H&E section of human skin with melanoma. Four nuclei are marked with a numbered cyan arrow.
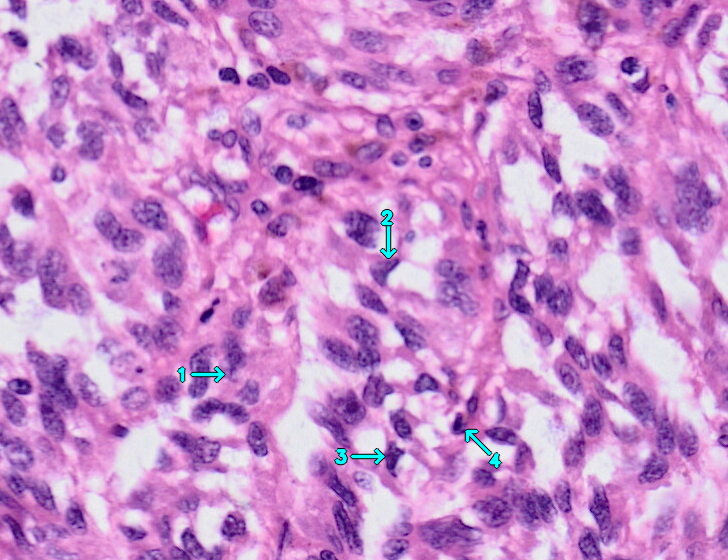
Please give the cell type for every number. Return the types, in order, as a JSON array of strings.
["melanoma cell", "melanoma cell", "melanoma cell", "lymphocyte"]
